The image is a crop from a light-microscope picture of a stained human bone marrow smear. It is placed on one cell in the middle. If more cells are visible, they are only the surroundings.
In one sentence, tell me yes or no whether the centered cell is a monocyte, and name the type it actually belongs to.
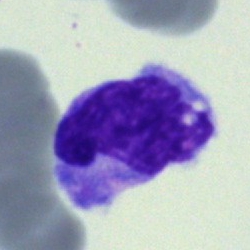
Yes, what sits in the middle of the crop is a monocyte.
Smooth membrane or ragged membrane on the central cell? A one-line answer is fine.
A smooth outline is absent here, replaced by ragged stretches or projections.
